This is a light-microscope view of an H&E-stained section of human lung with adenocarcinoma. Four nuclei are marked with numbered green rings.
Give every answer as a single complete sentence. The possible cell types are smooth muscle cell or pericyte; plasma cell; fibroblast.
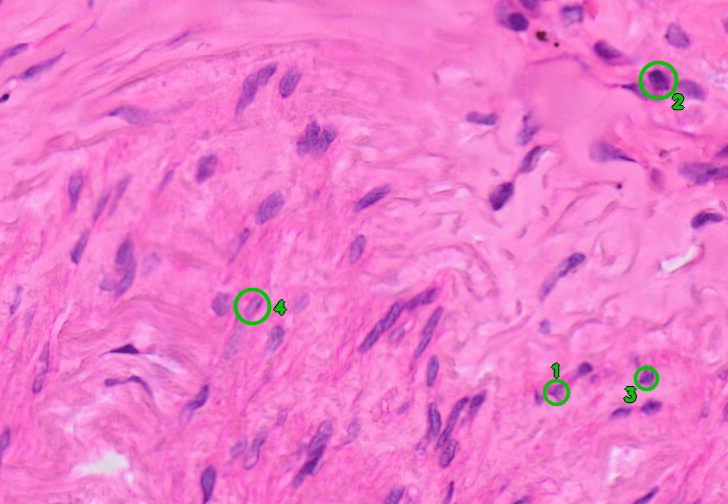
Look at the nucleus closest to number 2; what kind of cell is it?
The cell nearest to number 2 is a fibroblast.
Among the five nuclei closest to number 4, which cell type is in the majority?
Around number 4, most of the five nearest nuclei are those of smooth muscle cells or pericytes.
